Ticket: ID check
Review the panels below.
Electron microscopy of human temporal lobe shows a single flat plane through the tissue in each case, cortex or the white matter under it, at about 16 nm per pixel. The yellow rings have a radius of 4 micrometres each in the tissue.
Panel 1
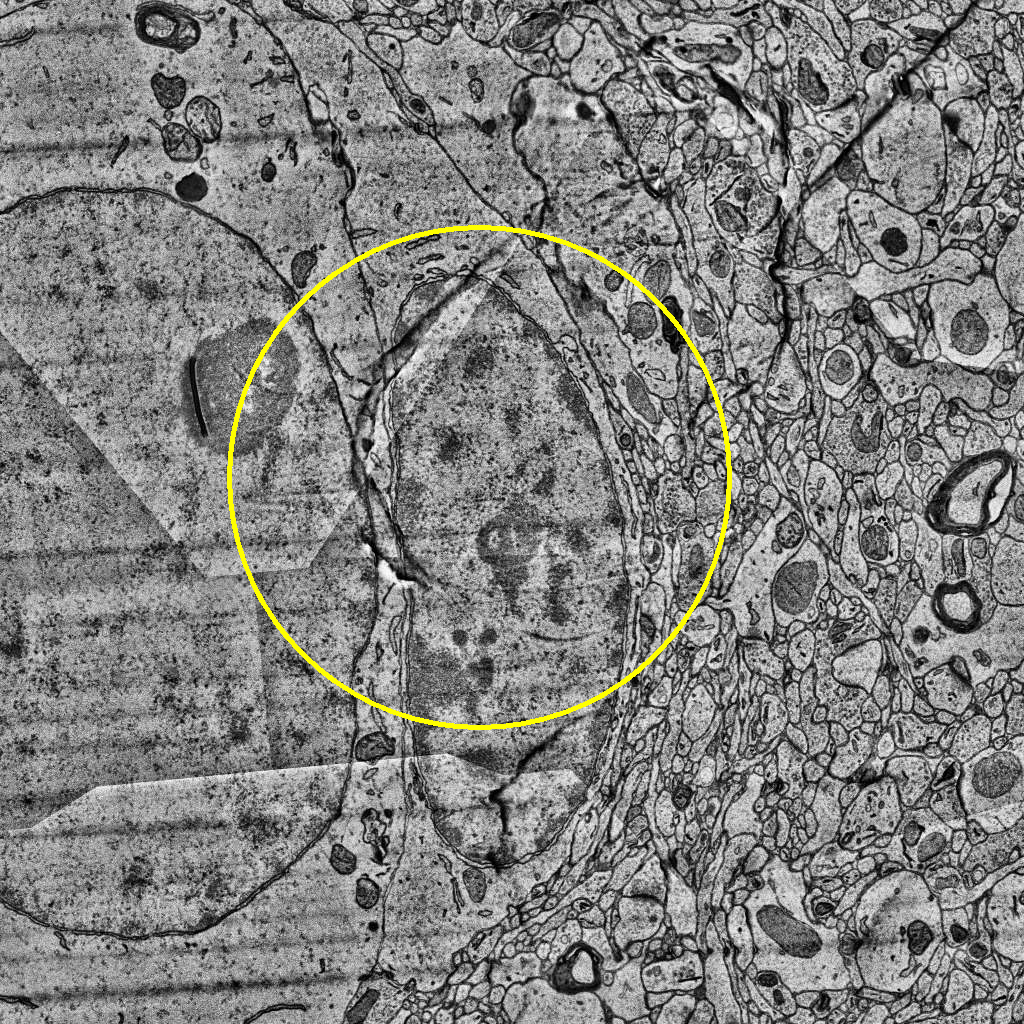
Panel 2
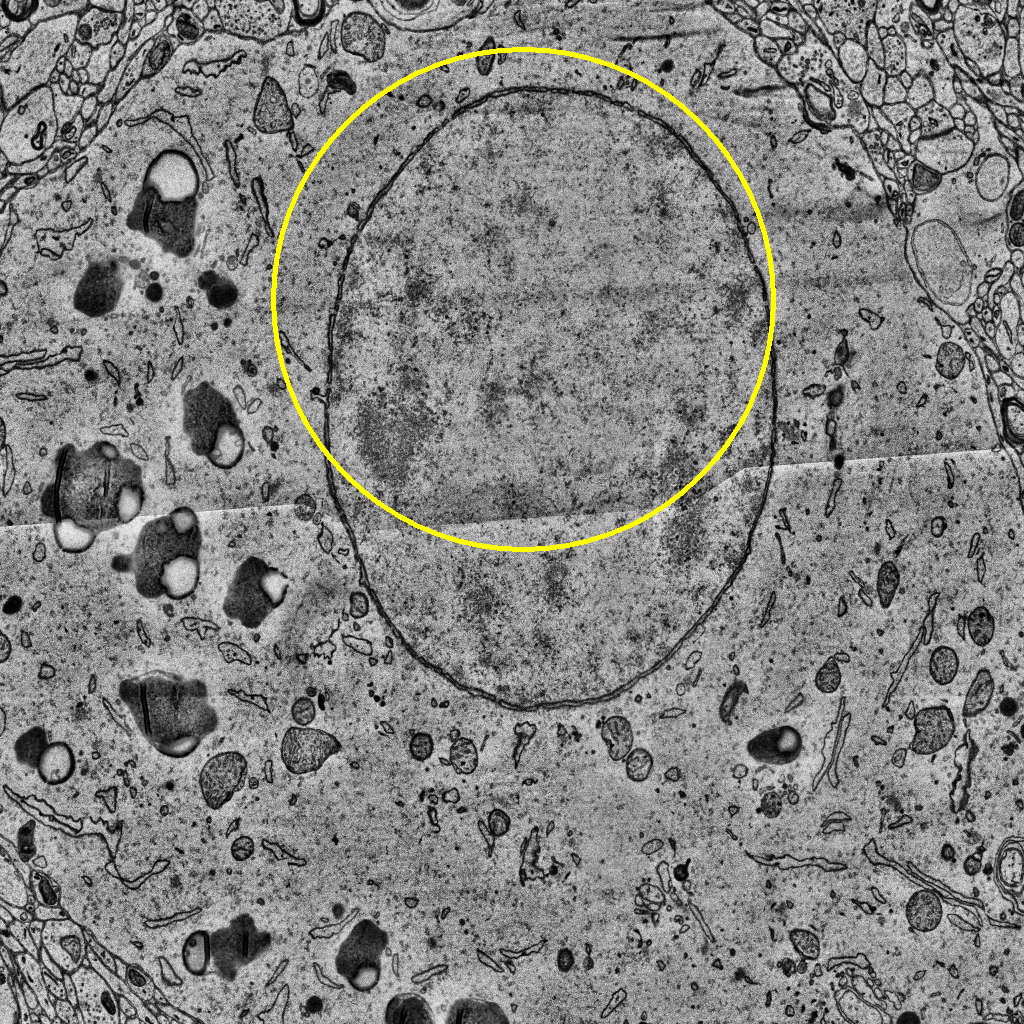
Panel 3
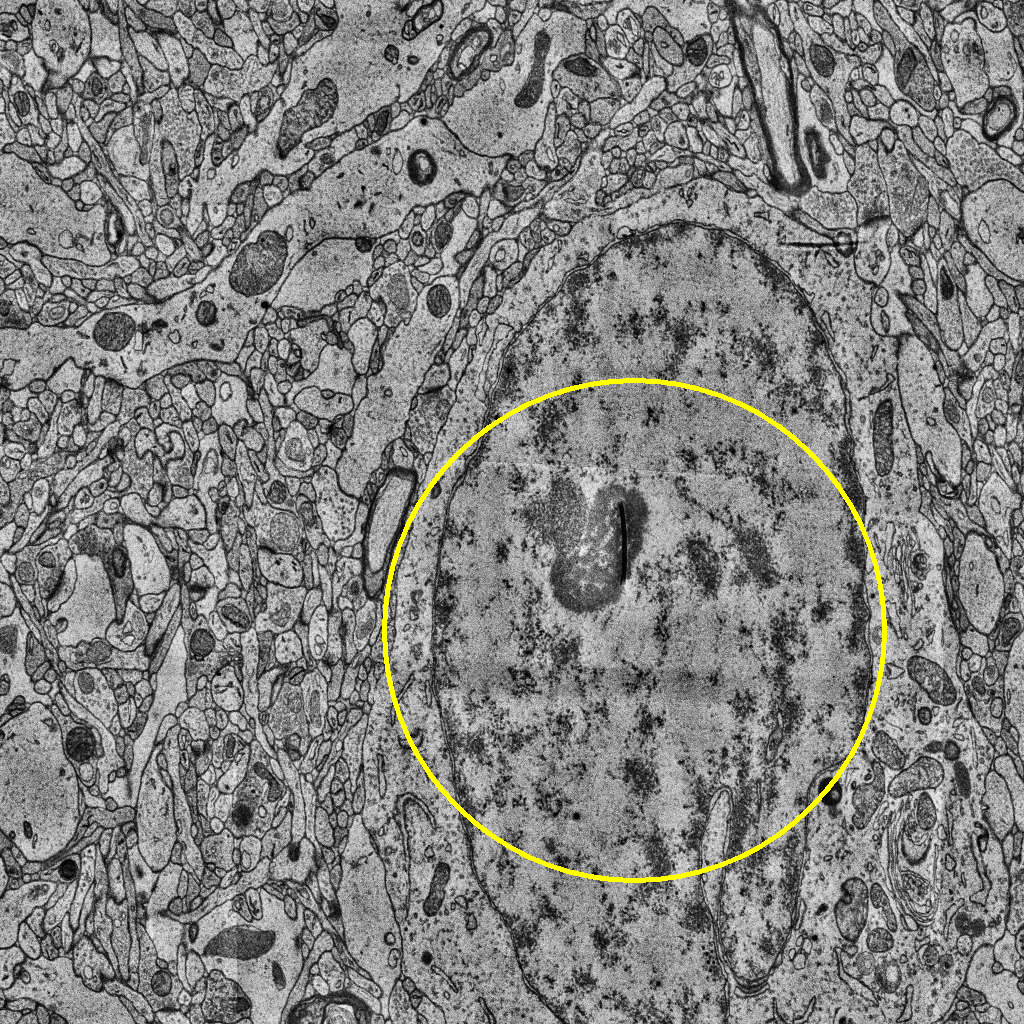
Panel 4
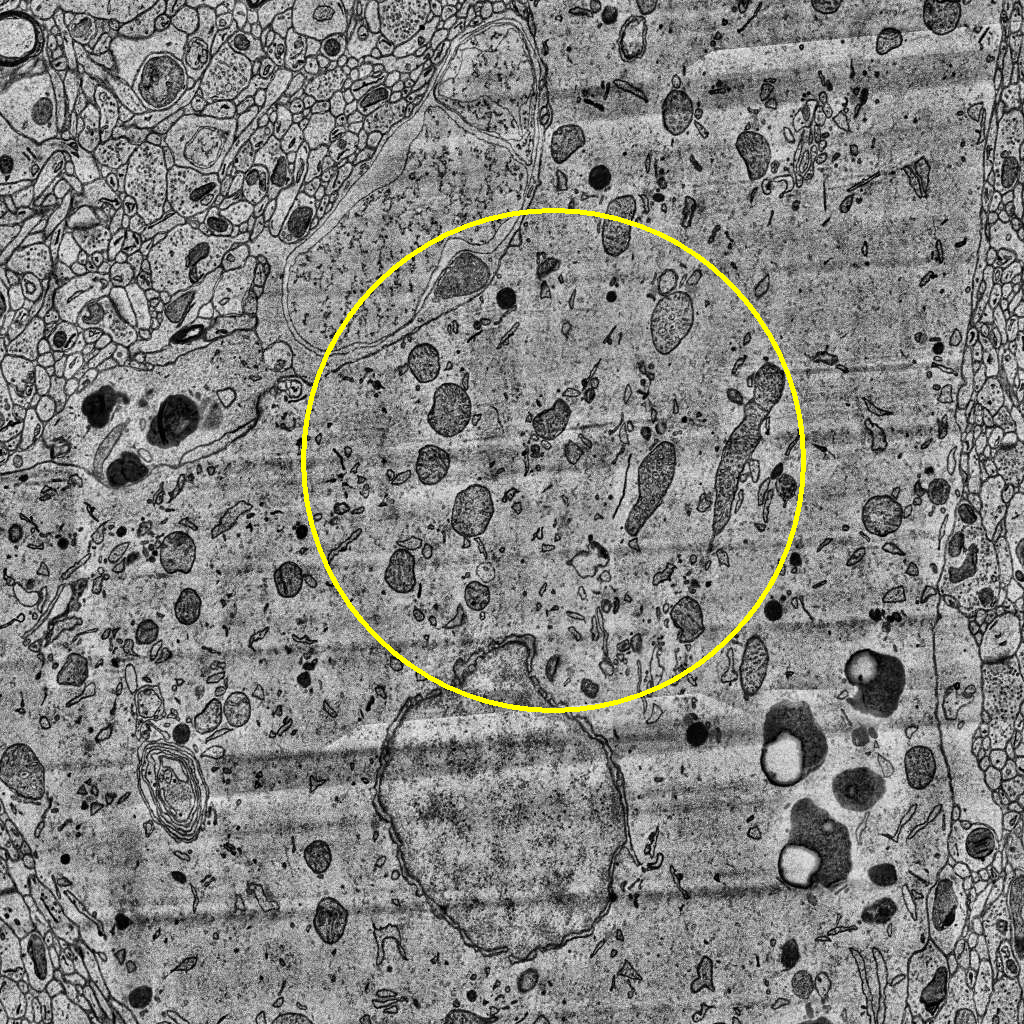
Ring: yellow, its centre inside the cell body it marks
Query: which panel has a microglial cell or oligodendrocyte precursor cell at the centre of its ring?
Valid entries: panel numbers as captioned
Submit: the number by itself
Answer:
1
